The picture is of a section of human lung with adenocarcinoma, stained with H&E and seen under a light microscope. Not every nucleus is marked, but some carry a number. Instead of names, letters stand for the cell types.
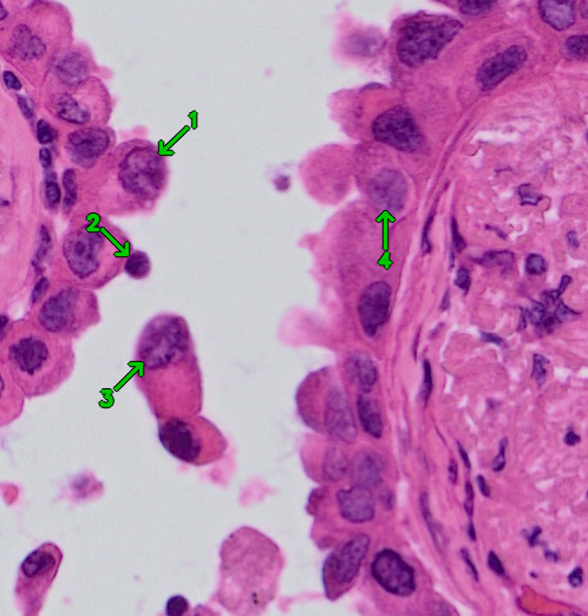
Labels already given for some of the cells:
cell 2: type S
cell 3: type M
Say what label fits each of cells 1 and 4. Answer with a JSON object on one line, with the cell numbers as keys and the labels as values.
{"1": "type M", "4": "type M"}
